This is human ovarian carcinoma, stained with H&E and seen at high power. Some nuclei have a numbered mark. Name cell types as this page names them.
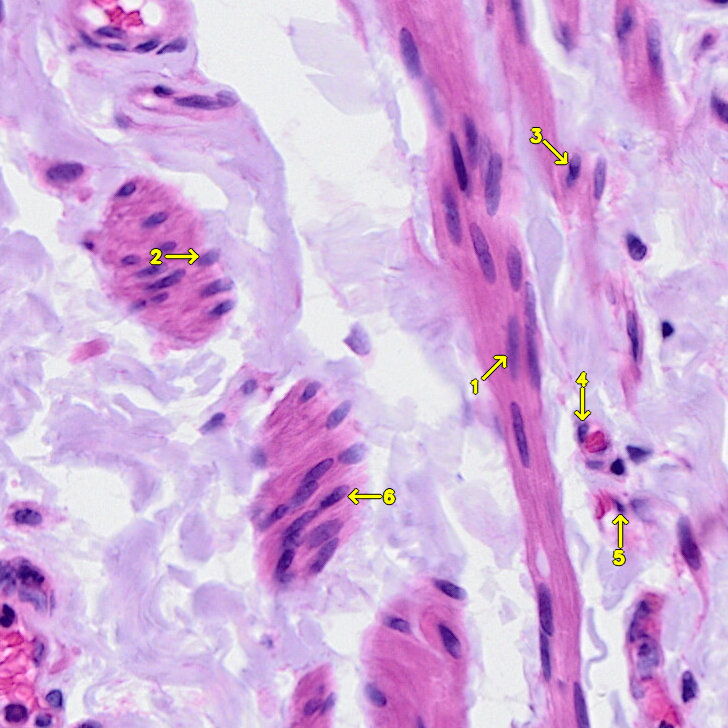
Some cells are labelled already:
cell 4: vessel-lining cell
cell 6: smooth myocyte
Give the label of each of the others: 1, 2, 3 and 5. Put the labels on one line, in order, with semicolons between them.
smooth myocyte; smooth myocyte; smooth myocyte; vessel-lining cell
